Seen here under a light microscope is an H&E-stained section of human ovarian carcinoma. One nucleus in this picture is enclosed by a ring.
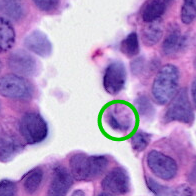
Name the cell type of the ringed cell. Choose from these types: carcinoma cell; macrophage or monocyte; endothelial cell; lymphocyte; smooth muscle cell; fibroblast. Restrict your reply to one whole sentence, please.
The correct response here is that the ringed cell is a macrophage or monocyte.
